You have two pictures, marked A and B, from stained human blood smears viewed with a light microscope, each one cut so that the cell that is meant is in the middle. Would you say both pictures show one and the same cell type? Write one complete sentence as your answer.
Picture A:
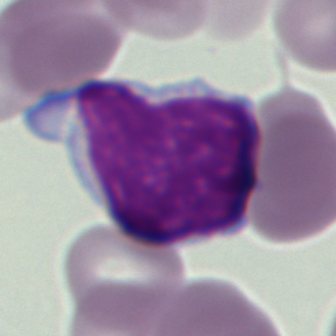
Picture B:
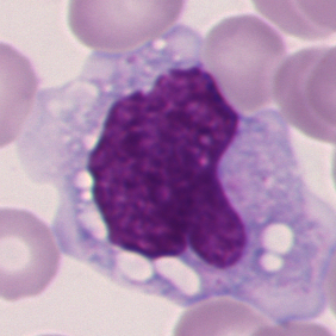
No. Picture A shows a large granular lymphocyte, but picture B shows a monocyte.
